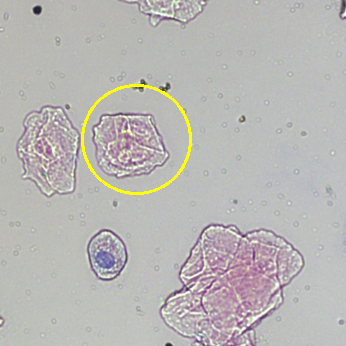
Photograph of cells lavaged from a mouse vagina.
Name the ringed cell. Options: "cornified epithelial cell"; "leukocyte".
cornified epithelial cell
